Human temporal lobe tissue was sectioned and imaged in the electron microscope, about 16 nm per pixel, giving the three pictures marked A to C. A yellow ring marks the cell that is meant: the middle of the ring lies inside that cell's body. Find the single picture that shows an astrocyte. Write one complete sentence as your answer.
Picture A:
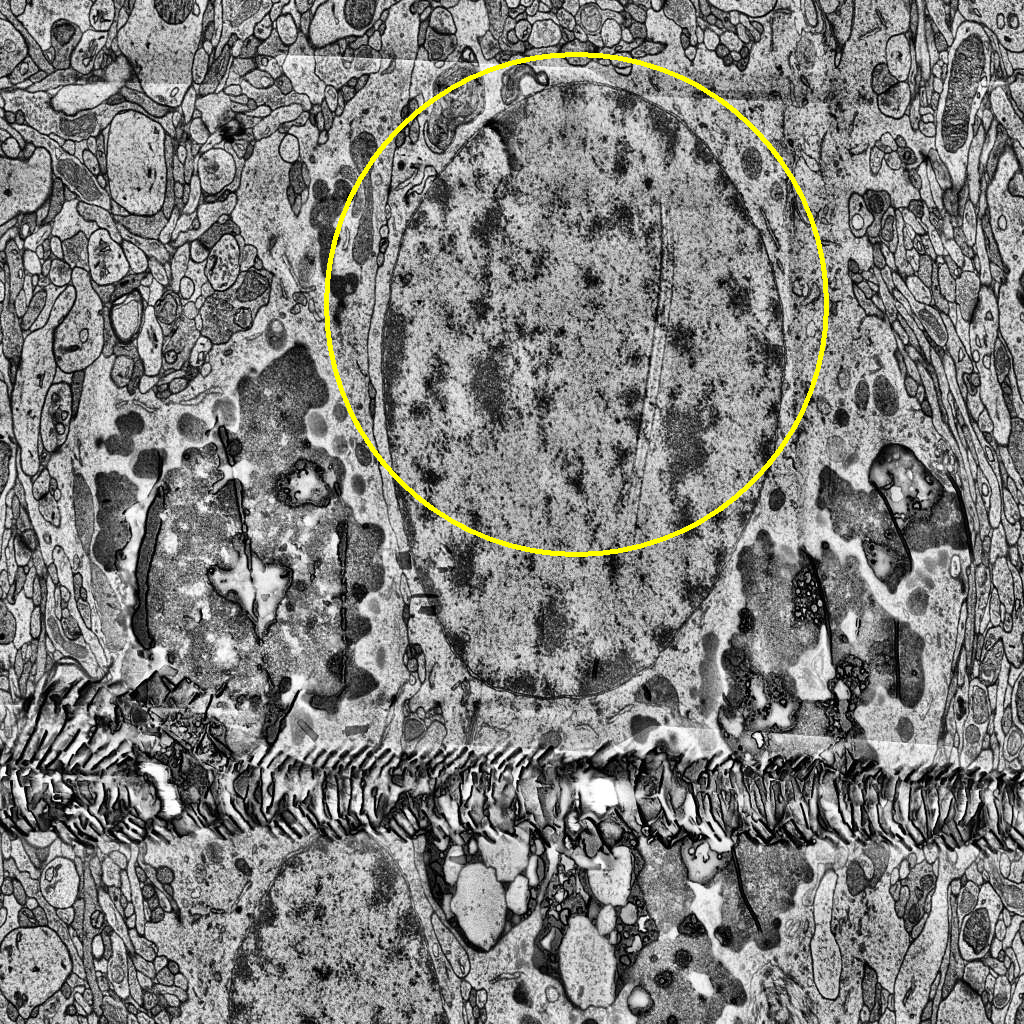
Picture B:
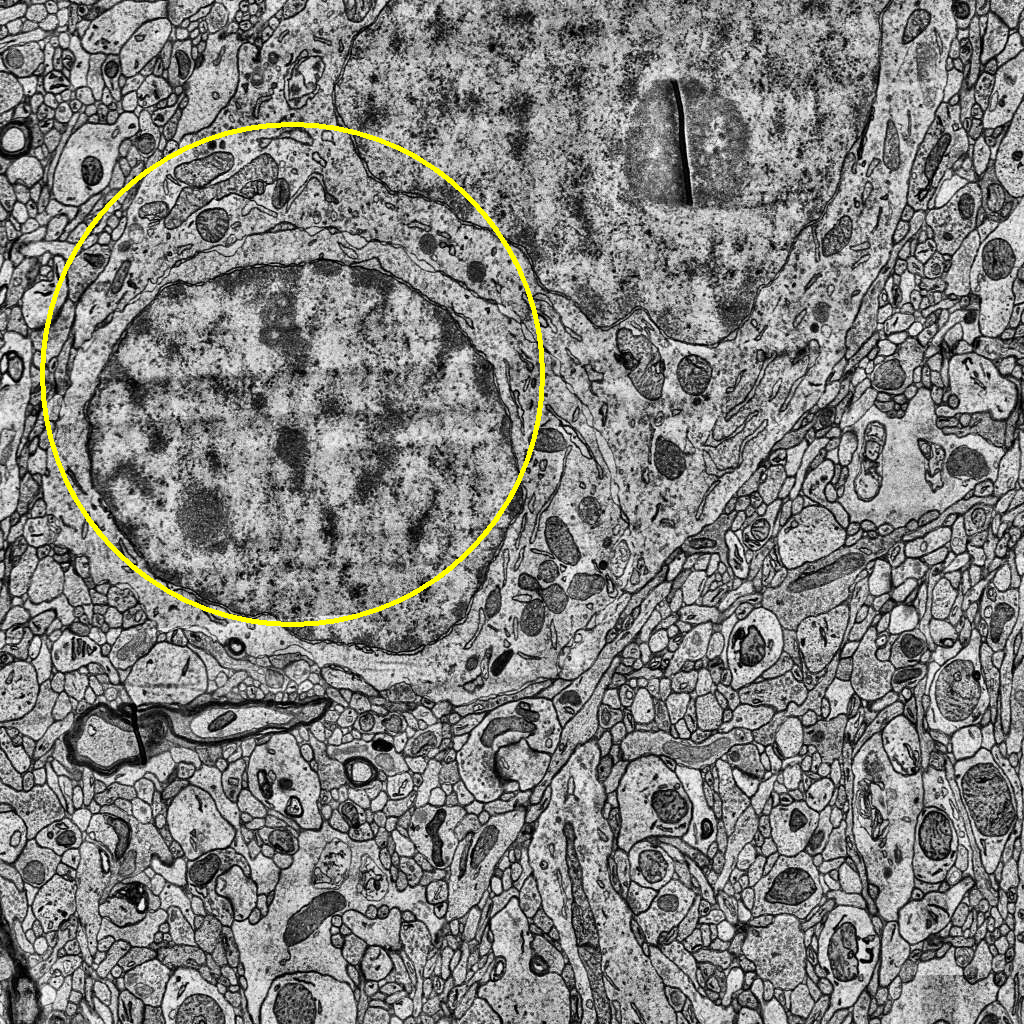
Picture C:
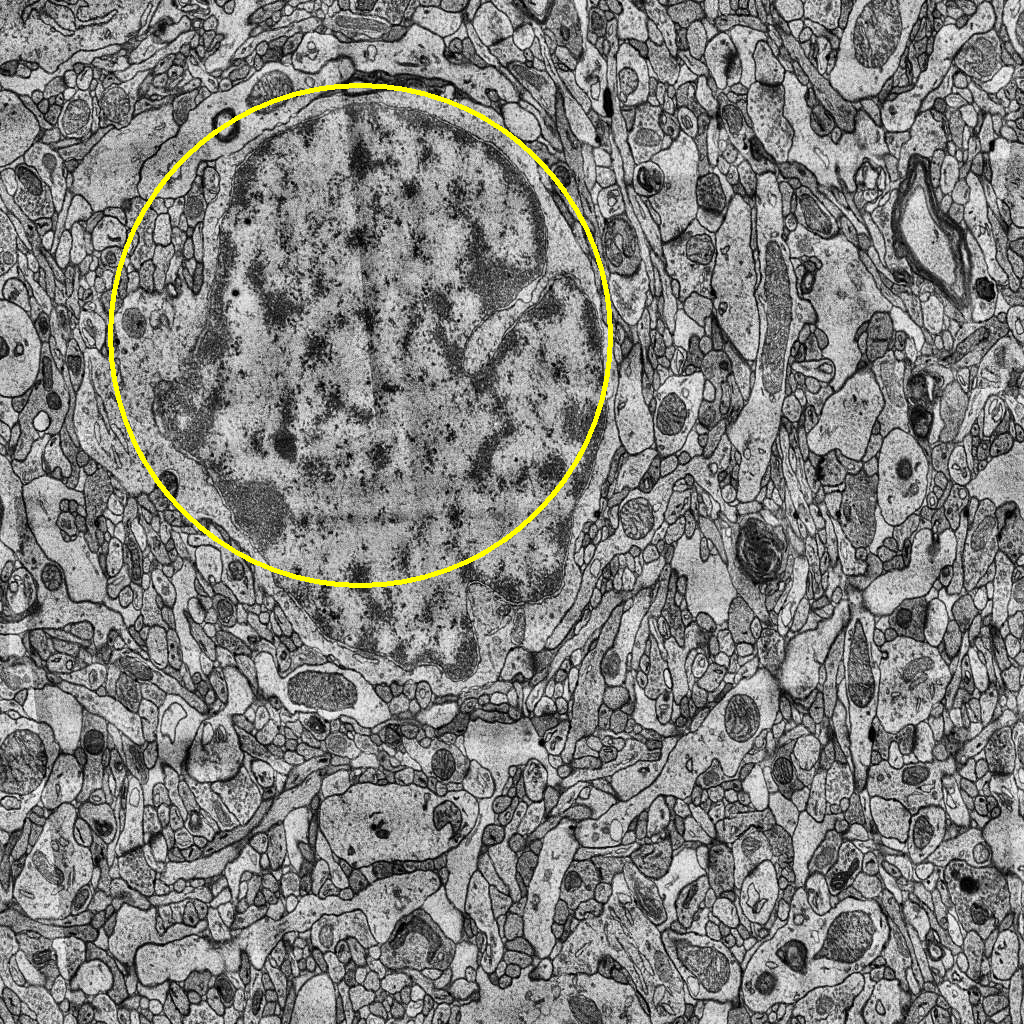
The cell in picture A is the astrocyte.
